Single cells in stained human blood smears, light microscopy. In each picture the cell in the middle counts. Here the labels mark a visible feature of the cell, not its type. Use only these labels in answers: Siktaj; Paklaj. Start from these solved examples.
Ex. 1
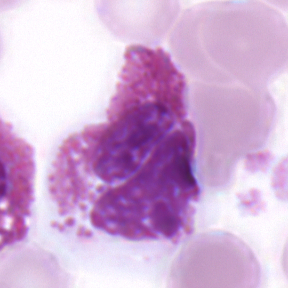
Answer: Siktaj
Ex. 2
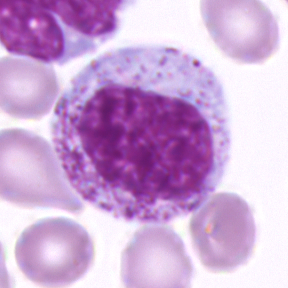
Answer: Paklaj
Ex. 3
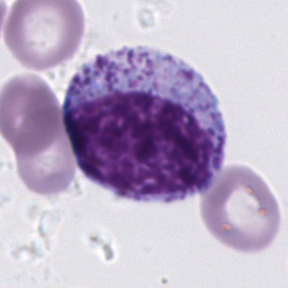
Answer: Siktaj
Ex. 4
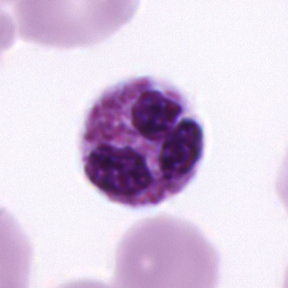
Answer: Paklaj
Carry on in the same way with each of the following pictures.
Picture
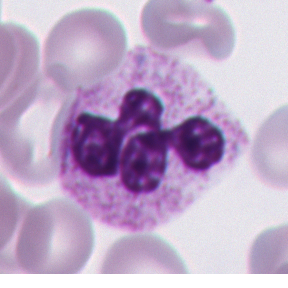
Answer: Paklaj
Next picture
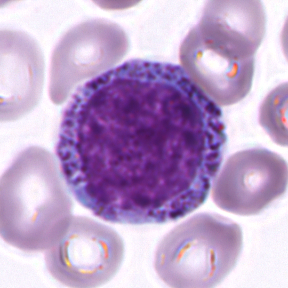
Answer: Siktaj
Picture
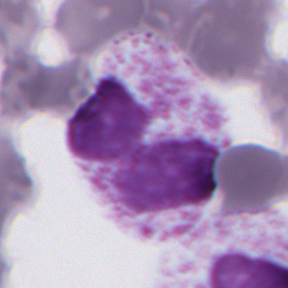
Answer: Siktaj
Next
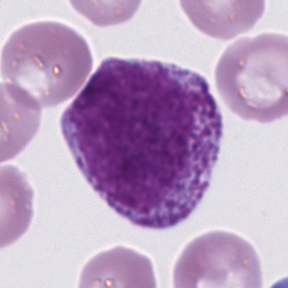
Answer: Siktaj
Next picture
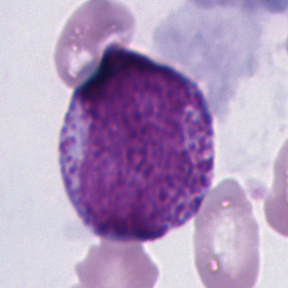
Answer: Siktaj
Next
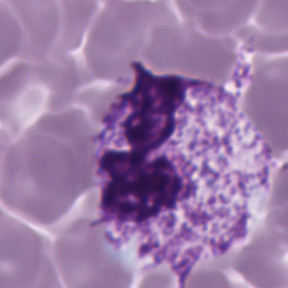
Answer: Siktaj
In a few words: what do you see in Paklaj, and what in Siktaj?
Paklaj: fine or small granules; Siktaj: coarse or large granules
